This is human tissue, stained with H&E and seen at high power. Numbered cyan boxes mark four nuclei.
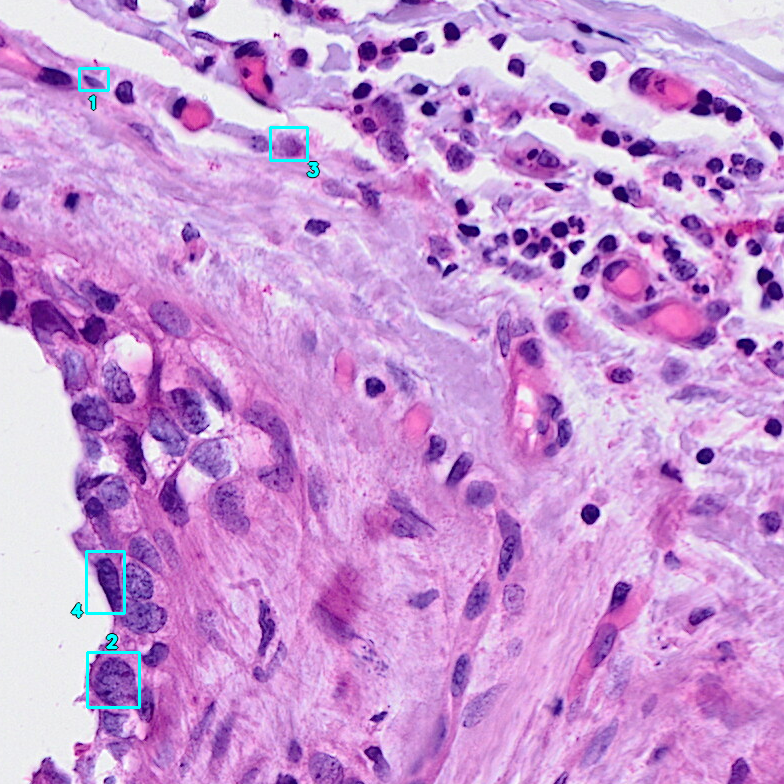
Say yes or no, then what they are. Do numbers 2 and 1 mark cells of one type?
No, cell 2 is a carcinoma cell and cell 1 is a fibroblast.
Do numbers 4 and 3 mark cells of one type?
No, cell 4 is a carcinoma cell and cell 3 is a fibroblast.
